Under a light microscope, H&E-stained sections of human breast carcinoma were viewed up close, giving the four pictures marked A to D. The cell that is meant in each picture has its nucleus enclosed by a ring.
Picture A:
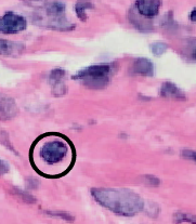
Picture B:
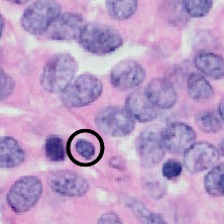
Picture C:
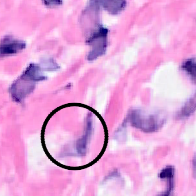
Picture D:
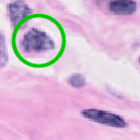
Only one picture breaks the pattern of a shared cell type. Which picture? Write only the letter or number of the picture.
C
